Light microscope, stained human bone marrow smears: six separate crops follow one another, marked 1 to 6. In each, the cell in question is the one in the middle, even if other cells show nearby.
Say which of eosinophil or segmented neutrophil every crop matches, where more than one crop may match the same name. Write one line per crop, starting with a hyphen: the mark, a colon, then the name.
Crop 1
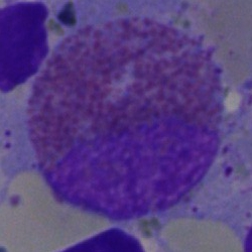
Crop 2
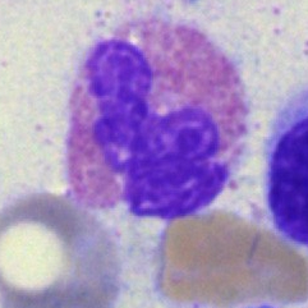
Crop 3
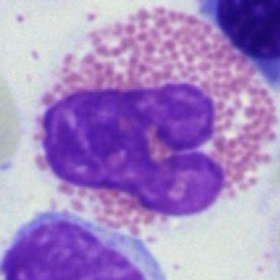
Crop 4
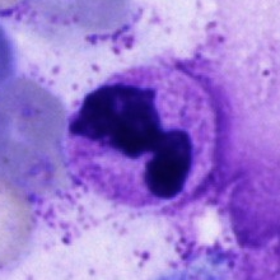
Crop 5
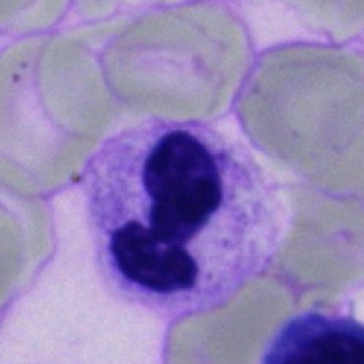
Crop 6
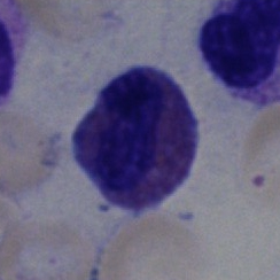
- 1: eosinophil
- 2: eosinophil
- 3: eosinophil
- 4: segmented neutrophil
- 5: segmented neutrophil
- 6: eosinophil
